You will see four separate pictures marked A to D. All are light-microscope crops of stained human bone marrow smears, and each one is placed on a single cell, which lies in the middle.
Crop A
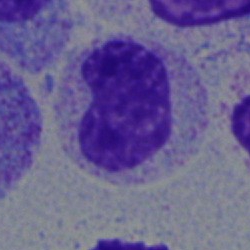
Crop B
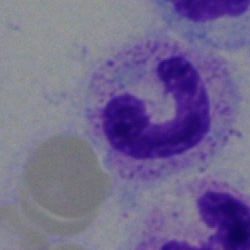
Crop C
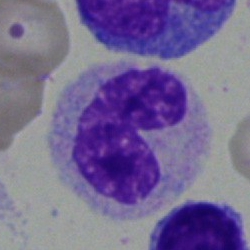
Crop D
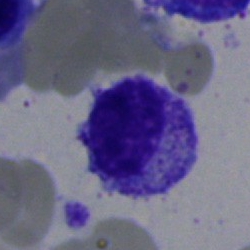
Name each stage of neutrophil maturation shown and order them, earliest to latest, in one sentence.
The least to most mature sequence reads crop D (a myelocyte), crop A (a metamyelocyte), crop C (a band neutrophil) and crop B (a segmented neutrophil).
